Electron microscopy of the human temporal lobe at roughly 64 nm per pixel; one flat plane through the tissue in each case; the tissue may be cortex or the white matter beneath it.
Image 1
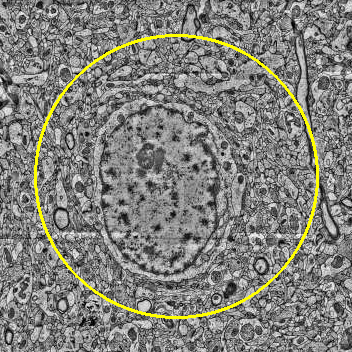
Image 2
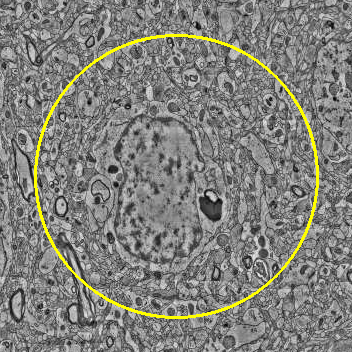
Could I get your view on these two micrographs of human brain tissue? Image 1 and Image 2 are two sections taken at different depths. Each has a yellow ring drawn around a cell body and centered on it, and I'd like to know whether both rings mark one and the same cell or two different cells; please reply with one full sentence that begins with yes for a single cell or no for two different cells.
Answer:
Yes, the same cell has been marked in both yellow rings.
